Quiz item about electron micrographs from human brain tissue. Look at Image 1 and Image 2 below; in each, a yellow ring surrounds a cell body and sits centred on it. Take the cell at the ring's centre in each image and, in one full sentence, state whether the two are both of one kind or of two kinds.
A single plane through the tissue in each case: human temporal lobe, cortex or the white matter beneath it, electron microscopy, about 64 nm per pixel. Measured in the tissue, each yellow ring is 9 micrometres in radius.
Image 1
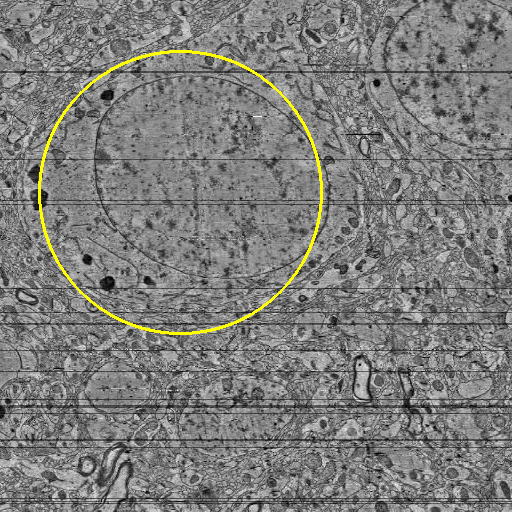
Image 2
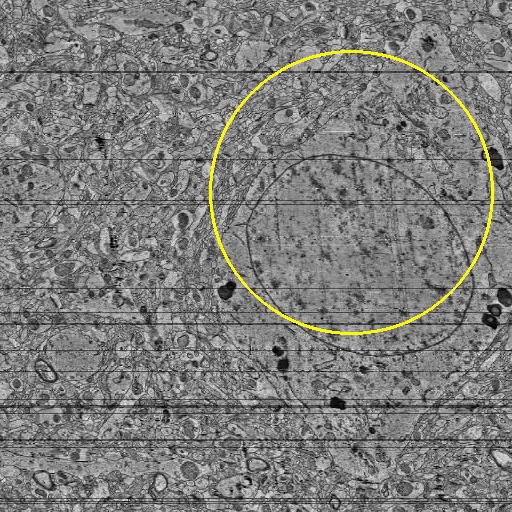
In Image 1 and Image 2, the cells at the ring centres are both of one kind.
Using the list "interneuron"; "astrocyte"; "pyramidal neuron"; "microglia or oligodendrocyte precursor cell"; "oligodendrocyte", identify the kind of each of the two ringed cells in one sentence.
Each of the two pictures has a pyramidal neuron at the ring centre.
